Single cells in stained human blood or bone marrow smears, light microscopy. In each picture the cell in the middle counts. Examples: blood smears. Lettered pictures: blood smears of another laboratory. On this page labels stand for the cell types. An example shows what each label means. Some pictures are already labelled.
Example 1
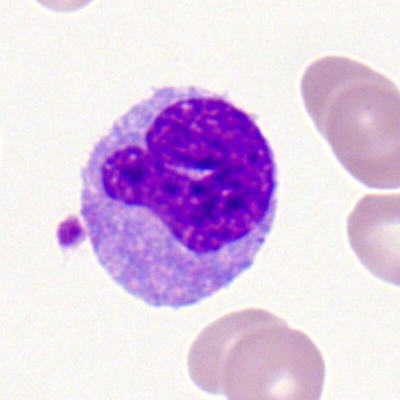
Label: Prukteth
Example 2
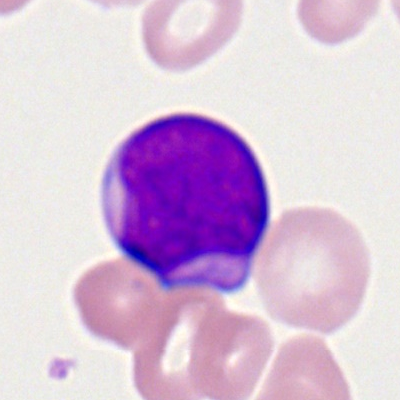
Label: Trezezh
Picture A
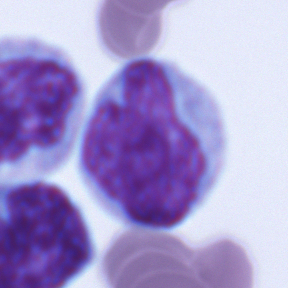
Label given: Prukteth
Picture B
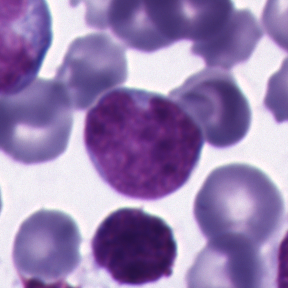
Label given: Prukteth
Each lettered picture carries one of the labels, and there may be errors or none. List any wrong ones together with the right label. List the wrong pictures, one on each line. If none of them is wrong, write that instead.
Wrong: B (Prukteth); correct: Trezezh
